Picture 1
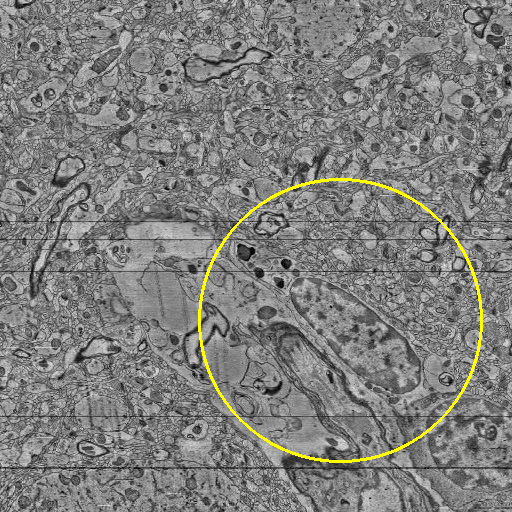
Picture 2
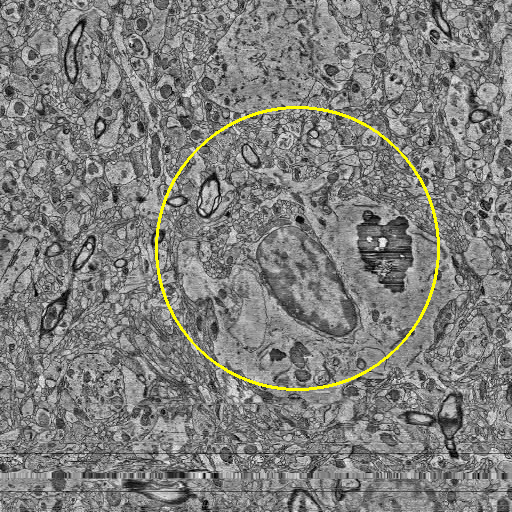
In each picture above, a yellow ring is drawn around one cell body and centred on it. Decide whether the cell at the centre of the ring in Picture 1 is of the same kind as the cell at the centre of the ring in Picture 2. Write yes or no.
yes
